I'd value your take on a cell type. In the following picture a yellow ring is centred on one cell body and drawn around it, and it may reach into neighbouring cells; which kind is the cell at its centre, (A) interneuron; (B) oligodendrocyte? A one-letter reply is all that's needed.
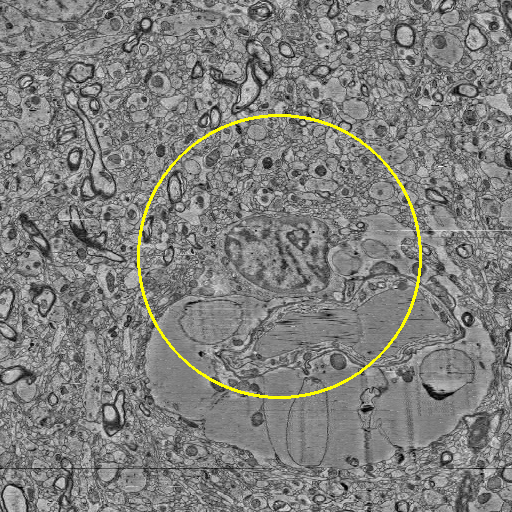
B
